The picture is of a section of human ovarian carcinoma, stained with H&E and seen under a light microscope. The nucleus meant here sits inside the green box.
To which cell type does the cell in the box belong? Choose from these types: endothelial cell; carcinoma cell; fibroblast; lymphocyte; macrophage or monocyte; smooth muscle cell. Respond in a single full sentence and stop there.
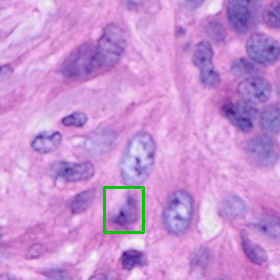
It is a fibroblast that the cell in the box represents.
